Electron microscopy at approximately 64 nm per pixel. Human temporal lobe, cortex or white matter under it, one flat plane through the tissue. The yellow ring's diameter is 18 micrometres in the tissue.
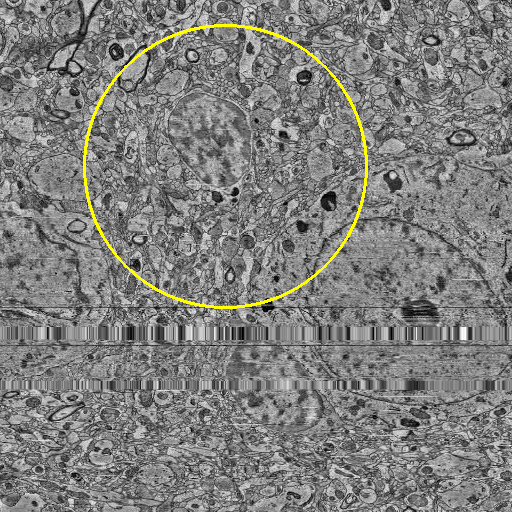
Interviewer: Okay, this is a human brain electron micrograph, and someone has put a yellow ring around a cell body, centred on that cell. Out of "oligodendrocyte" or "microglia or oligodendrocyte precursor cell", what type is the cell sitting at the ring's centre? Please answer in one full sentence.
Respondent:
The cell at the centre of the yellow ring in this picture is a microglial cell or oligodendrocyte precursor cell.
